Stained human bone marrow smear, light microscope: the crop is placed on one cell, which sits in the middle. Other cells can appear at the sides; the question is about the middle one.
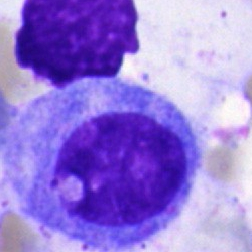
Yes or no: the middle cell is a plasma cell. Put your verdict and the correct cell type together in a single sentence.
Yes, a plasma cell is present in the middle of the crop.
